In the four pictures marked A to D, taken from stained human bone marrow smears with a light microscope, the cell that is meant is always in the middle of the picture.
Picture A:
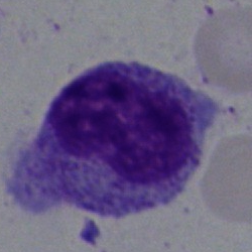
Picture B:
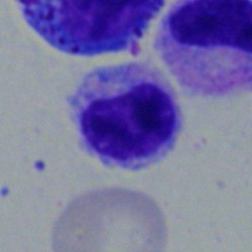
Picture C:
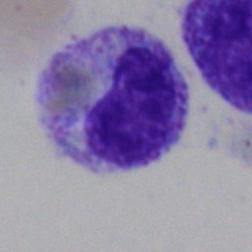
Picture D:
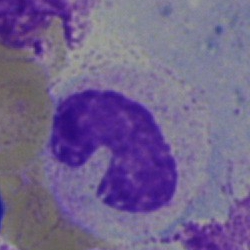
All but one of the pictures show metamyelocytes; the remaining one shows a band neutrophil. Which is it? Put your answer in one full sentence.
The cell in picture D is the band neutrophil.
